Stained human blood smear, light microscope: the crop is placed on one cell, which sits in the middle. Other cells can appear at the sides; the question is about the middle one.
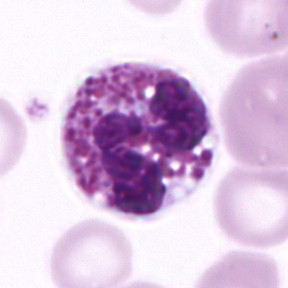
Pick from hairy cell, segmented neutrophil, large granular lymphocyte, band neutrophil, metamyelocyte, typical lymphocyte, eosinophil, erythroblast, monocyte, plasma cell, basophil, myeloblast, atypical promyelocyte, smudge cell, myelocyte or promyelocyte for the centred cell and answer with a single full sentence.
This particular crop is centered on an eosinophil.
